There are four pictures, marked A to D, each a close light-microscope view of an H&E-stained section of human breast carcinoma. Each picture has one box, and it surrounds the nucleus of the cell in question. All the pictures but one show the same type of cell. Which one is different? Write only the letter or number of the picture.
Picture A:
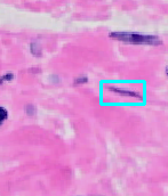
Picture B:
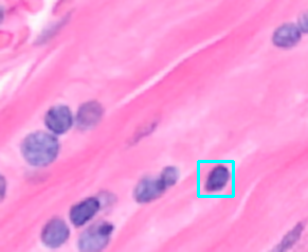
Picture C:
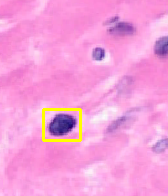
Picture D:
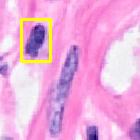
A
